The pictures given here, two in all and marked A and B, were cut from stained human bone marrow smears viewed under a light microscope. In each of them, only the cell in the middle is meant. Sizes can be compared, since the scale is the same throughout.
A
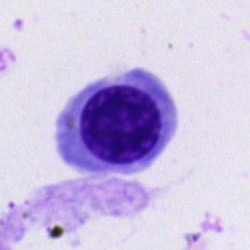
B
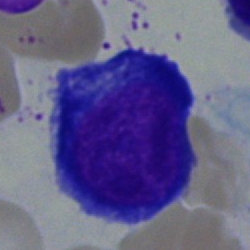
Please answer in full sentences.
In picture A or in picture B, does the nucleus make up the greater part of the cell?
It is the cell in picture B that is filled more by its nucleus.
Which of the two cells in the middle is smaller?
It is the cell in picture A; the cell in picture B has about 2 times its area.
